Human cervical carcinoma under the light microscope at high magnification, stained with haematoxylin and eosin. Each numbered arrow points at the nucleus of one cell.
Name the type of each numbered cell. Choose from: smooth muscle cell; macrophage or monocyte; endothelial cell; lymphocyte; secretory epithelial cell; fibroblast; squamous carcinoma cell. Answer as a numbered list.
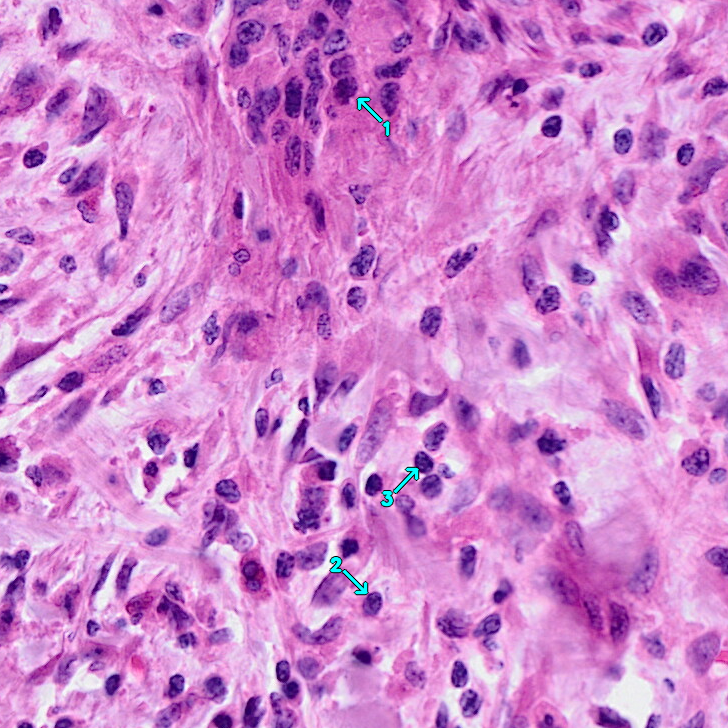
1. squamous carcinoma cell
2. lymphocyte
3. lymphocyte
